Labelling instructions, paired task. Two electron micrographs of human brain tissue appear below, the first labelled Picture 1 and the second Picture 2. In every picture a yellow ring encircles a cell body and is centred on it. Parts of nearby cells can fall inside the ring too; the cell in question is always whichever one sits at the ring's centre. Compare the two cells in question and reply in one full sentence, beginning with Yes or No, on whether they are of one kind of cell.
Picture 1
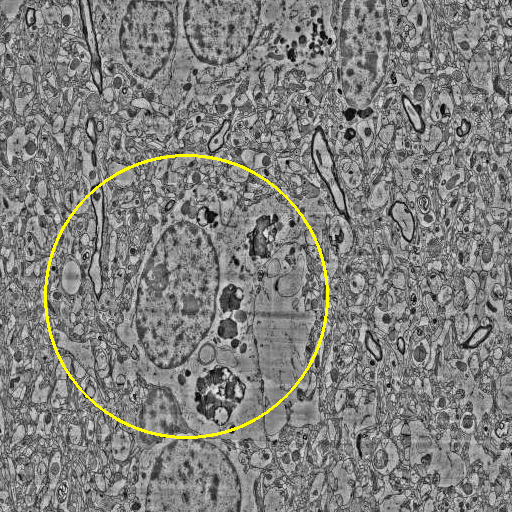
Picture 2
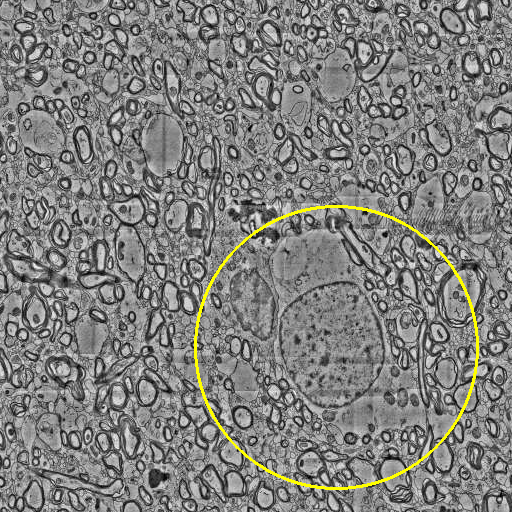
Yes, the two cells at the ring centres in Picture 1 and Picture 2 are of one kind.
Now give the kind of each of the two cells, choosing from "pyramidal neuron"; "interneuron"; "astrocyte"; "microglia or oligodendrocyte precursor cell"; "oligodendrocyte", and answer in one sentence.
Each one of the two ringed cells is an astrocyte.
